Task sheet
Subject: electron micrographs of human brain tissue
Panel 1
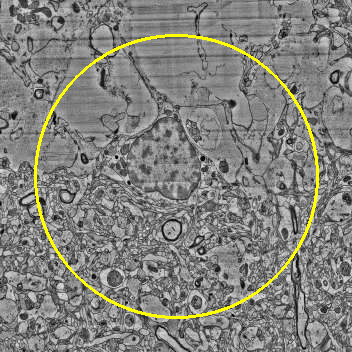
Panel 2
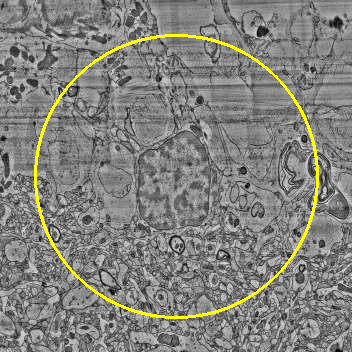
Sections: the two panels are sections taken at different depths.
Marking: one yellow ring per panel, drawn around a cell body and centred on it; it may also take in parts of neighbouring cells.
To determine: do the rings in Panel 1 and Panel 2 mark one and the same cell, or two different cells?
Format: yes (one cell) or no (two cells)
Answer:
yes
